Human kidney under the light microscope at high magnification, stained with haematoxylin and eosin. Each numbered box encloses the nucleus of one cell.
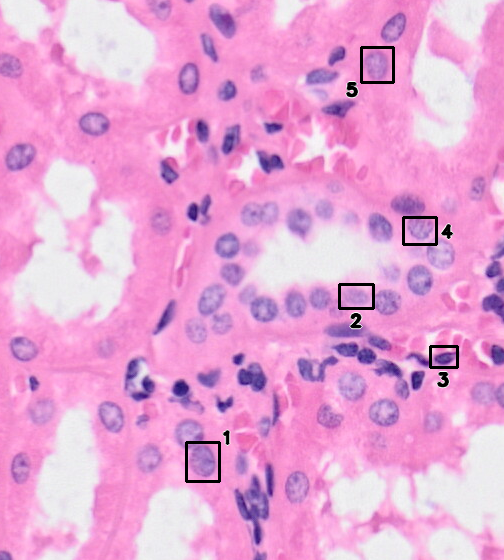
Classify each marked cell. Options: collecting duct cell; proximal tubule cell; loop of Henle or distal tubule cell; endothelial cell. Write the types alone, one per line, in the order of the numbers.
proximal tubule cell
collecting duct cell
endothelial cell
collecting duct cell
proximal tubule cell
